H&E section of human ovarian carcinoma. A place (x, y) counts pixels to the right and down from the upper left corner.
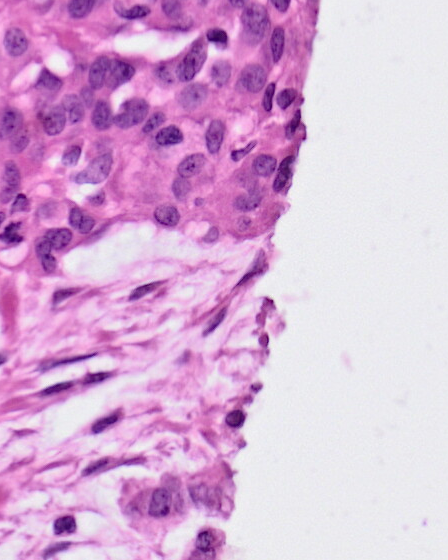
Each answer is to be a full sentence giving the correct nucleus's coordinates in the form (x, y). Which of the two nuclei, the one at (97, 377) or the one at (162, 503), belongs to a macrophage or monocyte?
The one nucleus of the two that belongs to a macrophage or monocyte is at (162, 503).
